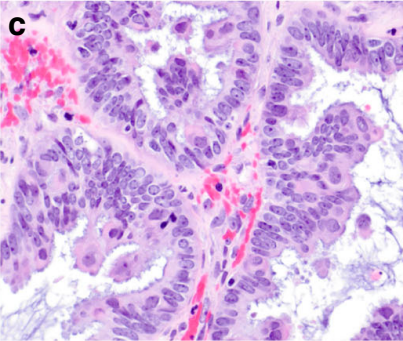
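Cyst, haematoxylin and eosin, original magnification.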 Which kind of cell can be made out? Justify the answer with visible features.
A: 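Cuboidal to columnar epithelial cells. Cells are taller than wide to about square, with oval nuclei. Cytoplasm is pink.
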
